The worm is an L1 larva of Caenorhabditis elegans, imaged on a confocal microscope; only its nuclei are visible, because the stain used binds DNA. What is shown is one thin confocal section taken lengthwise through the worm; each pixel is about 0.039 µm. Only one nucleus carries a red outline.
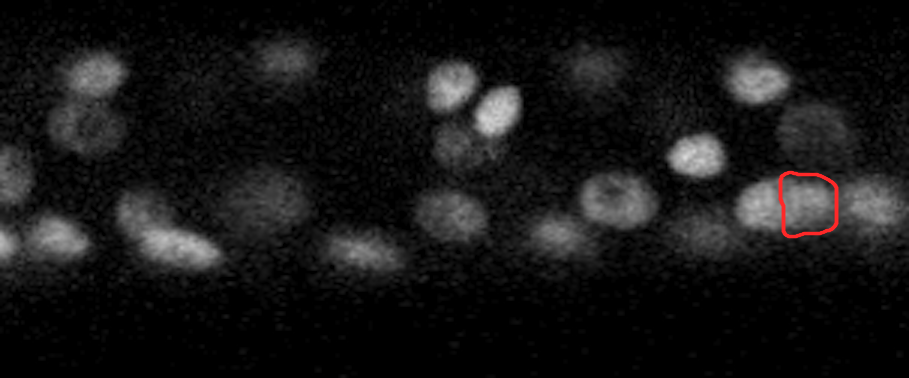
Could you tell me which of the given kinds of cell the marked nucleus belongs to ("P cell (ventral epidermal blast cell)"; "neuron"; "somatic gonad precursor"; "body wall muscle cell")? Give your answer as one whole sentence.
The marked cell is a somatic gonad precursor.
